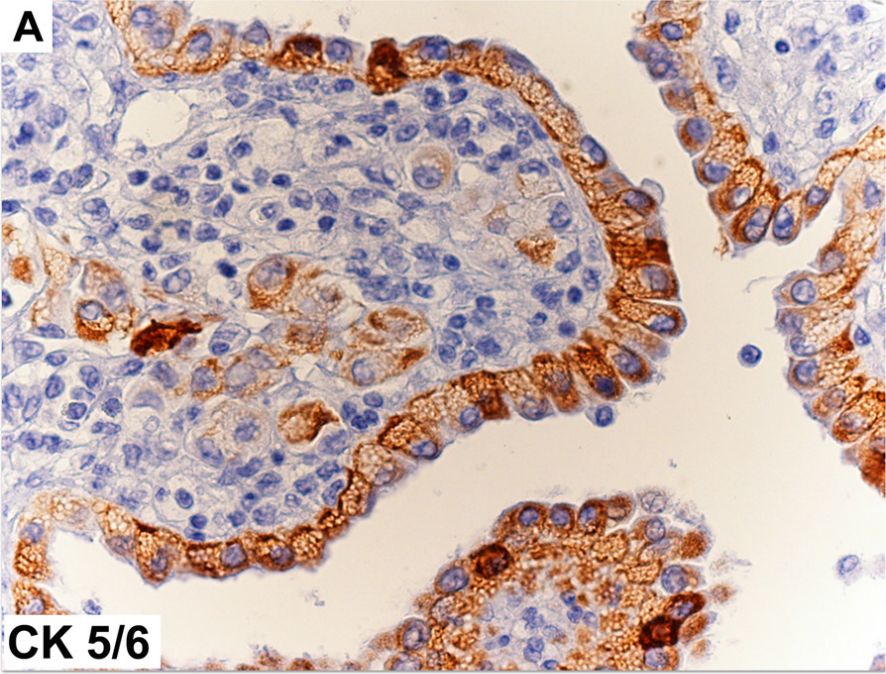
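Papillary fronds are lined by a single layer of cuboidal to columnar epithelial cells whose cytoplasm is stained brown. The brown cytoplasm has a bubbly look, outlining many small clear microvacuoles. The cores of the fronds hold loose pale stroma with mostly unstained cells and scattered brown-stained cells.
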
